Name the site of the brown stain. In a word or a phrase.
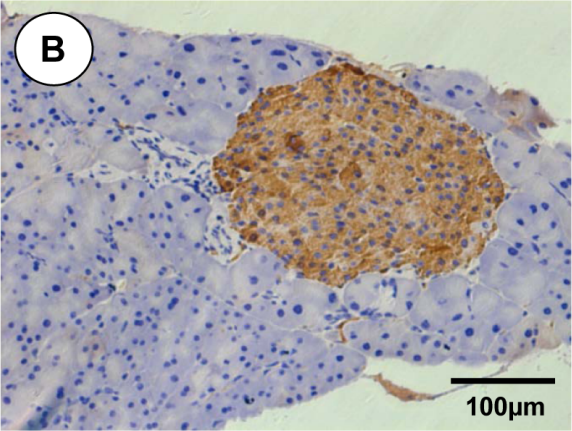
Cytoplasm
